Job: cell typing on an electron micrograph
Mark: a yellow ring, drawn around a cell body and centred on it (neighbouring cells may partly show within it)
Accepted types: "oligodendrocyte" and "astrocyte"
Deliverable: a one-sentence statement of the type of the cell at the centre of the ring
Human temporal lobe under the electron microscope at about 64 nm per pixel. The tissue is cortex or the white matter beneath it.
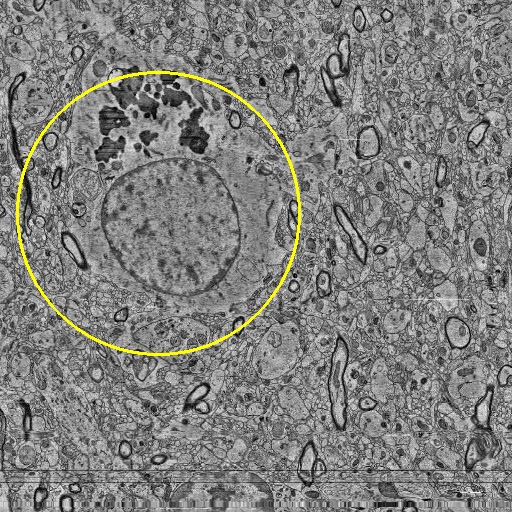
The centred cell body is that of an astrocyte.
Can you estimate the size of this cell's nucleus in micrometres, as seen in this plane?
Roughly 9 micrometres across, measured in this plane.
